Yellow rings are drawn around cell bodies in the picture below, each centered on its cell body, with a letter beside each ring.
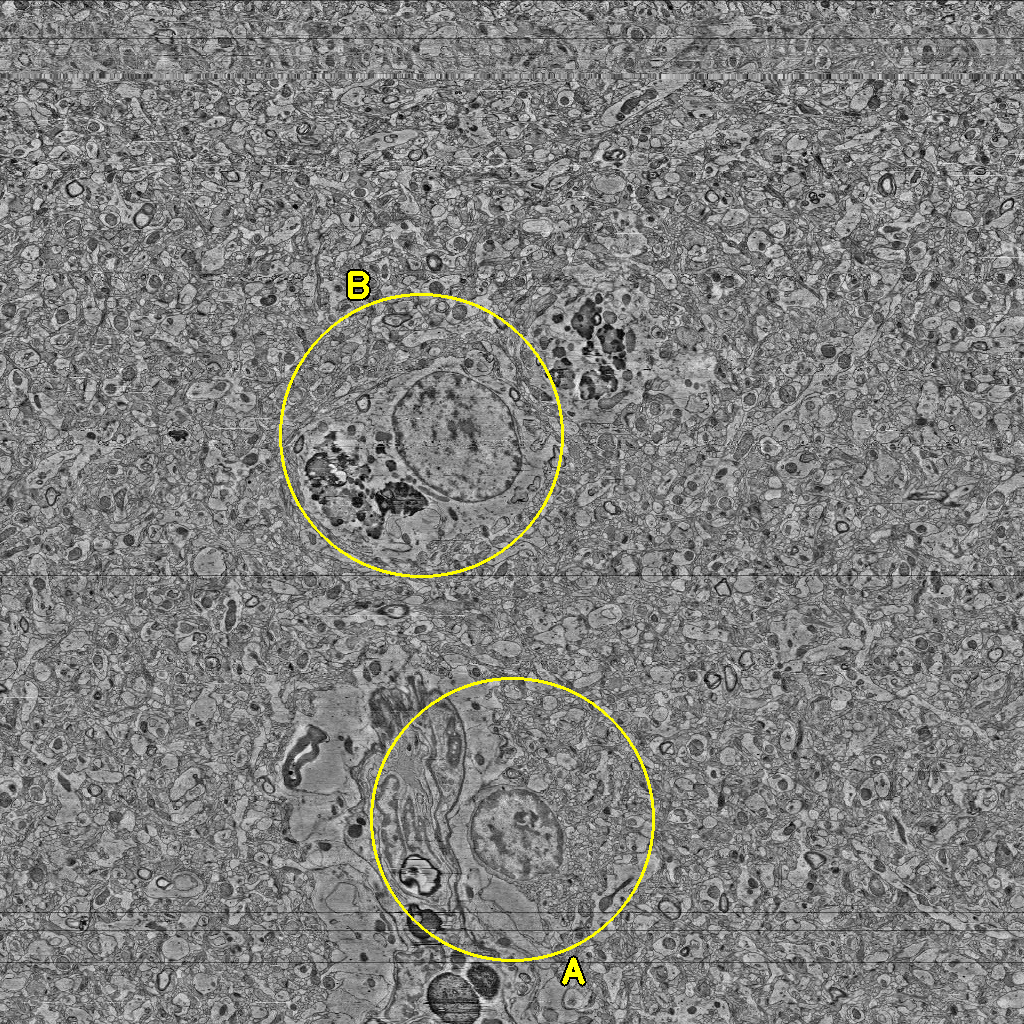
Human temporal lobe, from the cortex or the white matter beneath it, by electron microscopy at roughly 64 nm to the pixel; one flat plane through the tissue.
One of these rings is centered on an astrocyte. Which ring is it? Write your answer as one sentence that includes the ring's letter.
It is ring B.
